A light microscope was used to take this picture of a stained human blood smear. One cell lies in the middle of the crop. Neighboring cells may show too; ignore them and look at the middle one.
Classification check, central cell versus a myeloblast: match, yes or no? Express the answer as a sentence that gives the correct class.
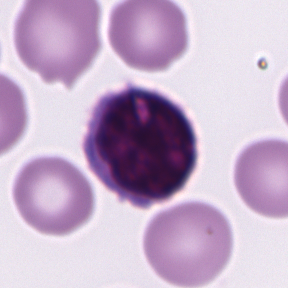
No, the cell at the centre is categorised not as a myeloblast but as a typical lymphocyte.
